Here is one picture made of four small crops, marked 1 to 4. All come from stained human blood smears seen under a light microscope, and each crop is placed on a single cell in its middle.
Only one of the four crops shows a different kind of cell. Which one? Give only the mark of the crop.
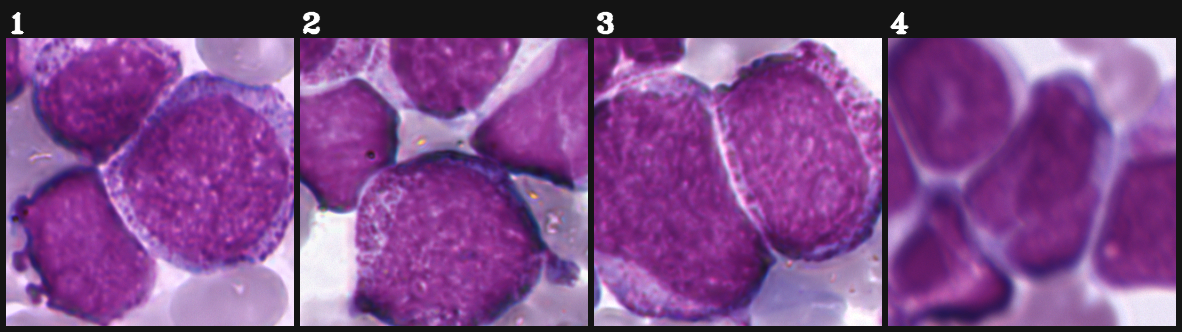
4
